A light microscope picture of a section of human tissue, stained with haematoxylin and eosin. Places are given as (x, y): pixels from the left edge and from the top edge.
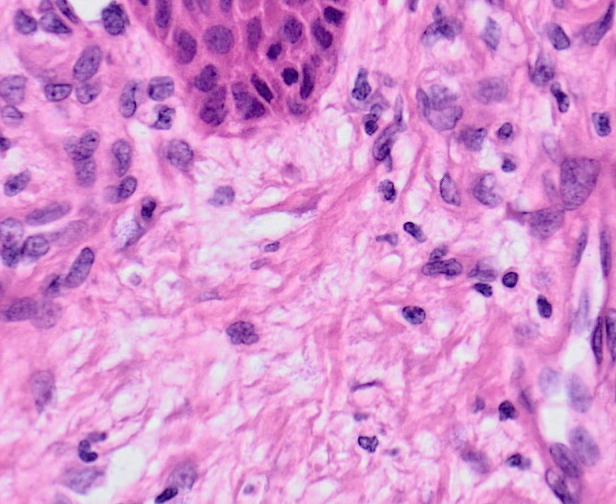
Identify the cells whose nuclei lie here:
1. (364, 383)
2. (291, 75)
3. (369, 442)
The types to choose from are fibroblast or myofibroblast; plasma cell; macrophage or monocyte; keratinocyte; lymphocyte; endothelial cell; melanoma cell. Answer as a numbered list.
1. fibroblast or myofibroblast
2. keratinocyte
3. lymphocyte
